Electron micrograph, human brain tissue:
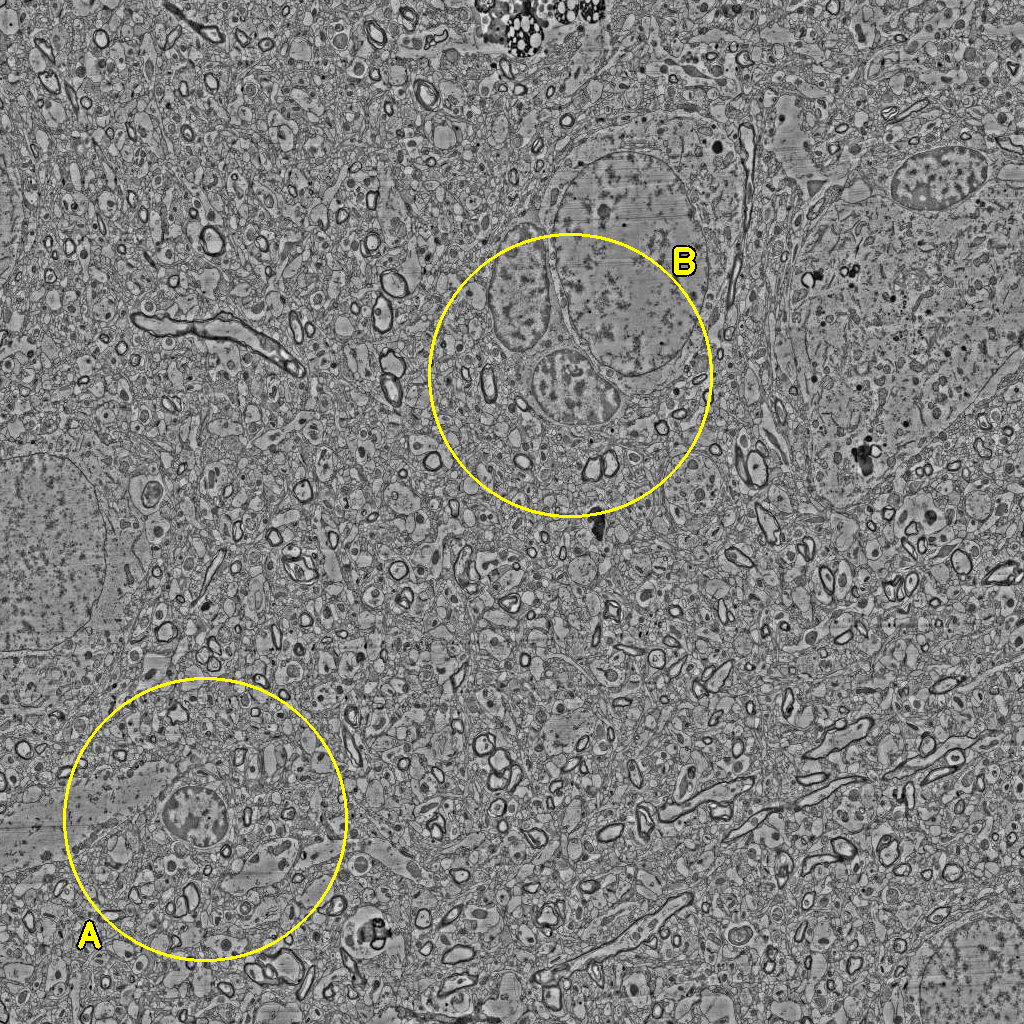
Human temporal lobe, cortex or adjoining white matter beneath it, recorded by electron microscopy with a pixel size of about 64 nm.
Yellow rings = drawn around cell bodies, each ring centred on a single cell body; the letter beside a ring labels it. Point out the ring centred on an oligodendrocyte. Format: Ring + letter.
Ring B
